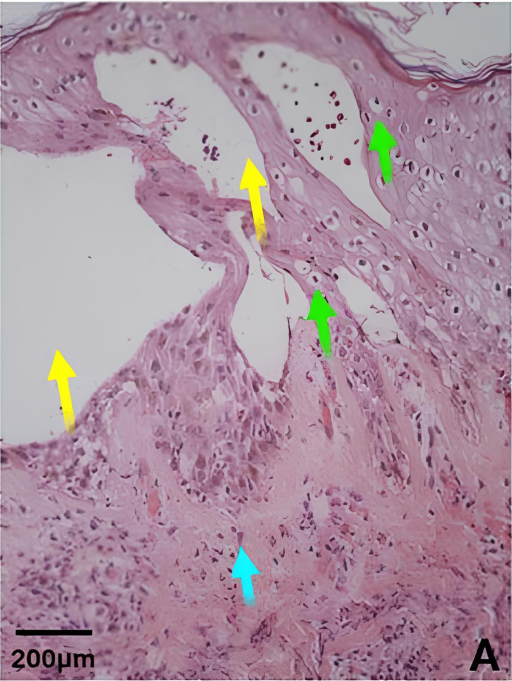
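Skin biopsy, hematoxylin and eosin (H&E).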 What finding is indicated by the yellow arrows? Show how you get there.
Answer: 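Microvesicles. Large clear spaces lie within the epidermis. The spaces are bordered by stretched epidermal cells. A few red blood cells lie inside one space.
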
